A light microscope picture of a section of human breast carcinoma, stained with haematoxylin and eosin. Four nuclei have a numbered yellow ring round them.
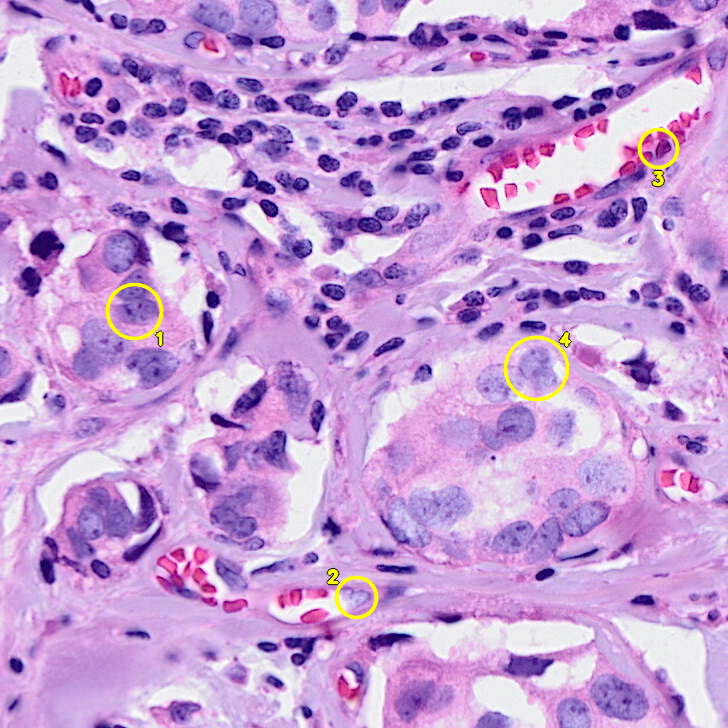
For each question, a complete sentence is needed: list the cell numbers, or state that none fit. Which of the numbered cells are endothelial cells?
Cells 2 and 3 are endothelial cells by cell type.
